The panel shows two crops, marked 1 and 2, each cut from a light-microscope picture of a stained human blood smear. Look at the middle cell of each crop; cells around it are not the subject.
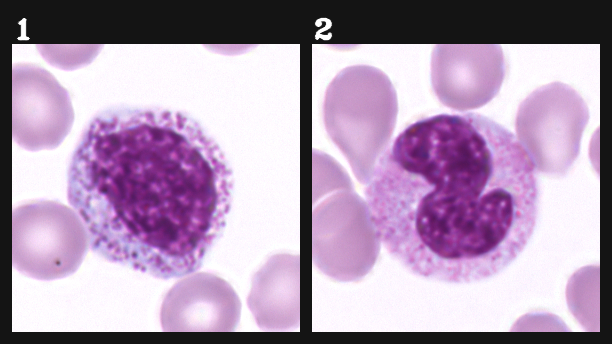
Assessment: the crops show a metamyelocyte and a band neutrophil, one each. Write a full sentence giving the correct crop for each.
Classification: crop 1 is a metamyelocyte, crop 2 is a band neutrophil.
